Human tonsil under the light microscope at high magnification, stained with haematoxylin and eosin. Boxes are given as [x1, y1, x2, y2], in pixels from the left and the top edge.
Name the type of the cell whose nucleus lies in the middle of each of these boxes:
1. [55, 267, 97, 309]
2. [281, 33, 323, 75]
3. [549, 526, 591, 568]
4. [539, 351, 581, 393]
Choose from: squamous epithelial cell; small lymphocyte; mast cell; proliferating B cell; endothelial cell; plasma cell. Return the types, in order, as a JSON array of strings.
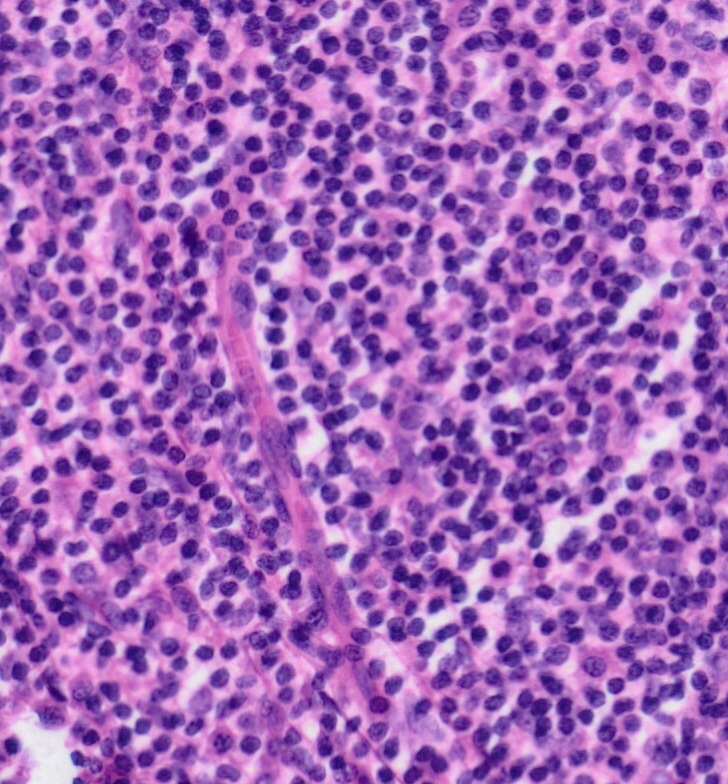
["small lymphocyte", "small lymphocyte", "proliferating B cell", "small lymphocyte"]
